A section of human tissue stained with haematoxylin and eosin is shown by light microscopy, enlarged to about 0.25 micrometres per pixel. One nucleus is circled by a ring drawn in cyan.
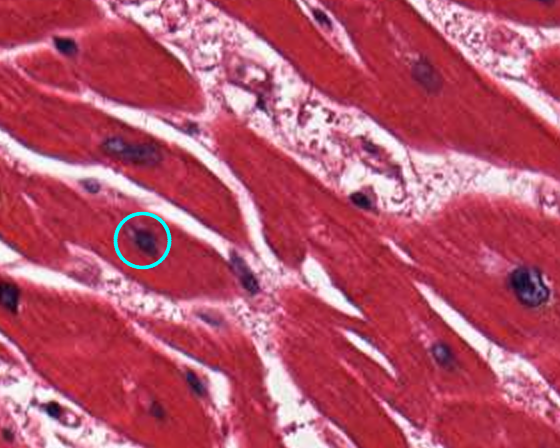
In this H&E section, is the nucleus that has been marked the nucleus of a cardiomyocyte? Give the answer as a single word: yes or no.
yes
